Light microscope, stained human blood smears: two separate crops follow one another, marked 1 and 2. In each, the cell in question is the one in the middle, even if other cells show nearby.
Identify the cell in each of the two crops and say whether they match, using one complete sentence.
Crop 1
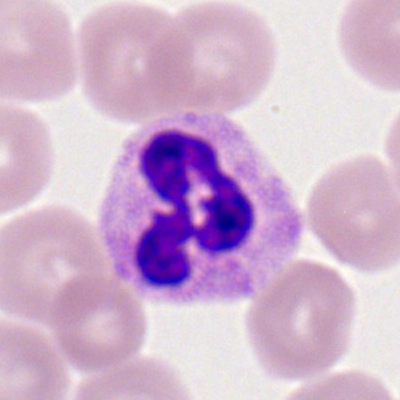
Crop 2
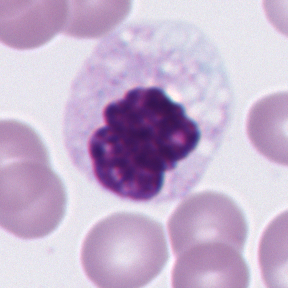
Yes, in the middle of both crops lie segmented neutrophils.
